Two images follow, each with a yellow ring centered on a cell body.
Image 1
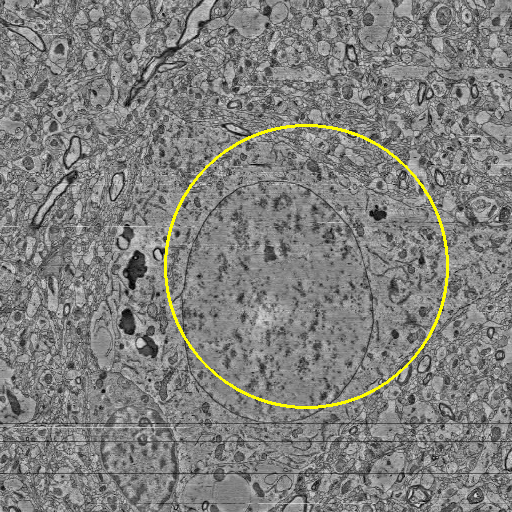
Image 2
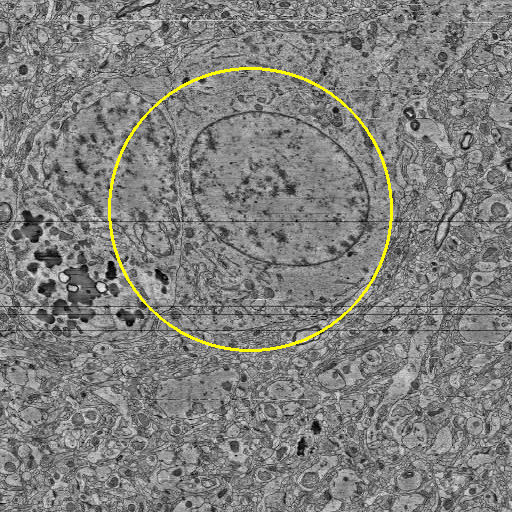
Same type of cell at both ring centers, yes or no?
yes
